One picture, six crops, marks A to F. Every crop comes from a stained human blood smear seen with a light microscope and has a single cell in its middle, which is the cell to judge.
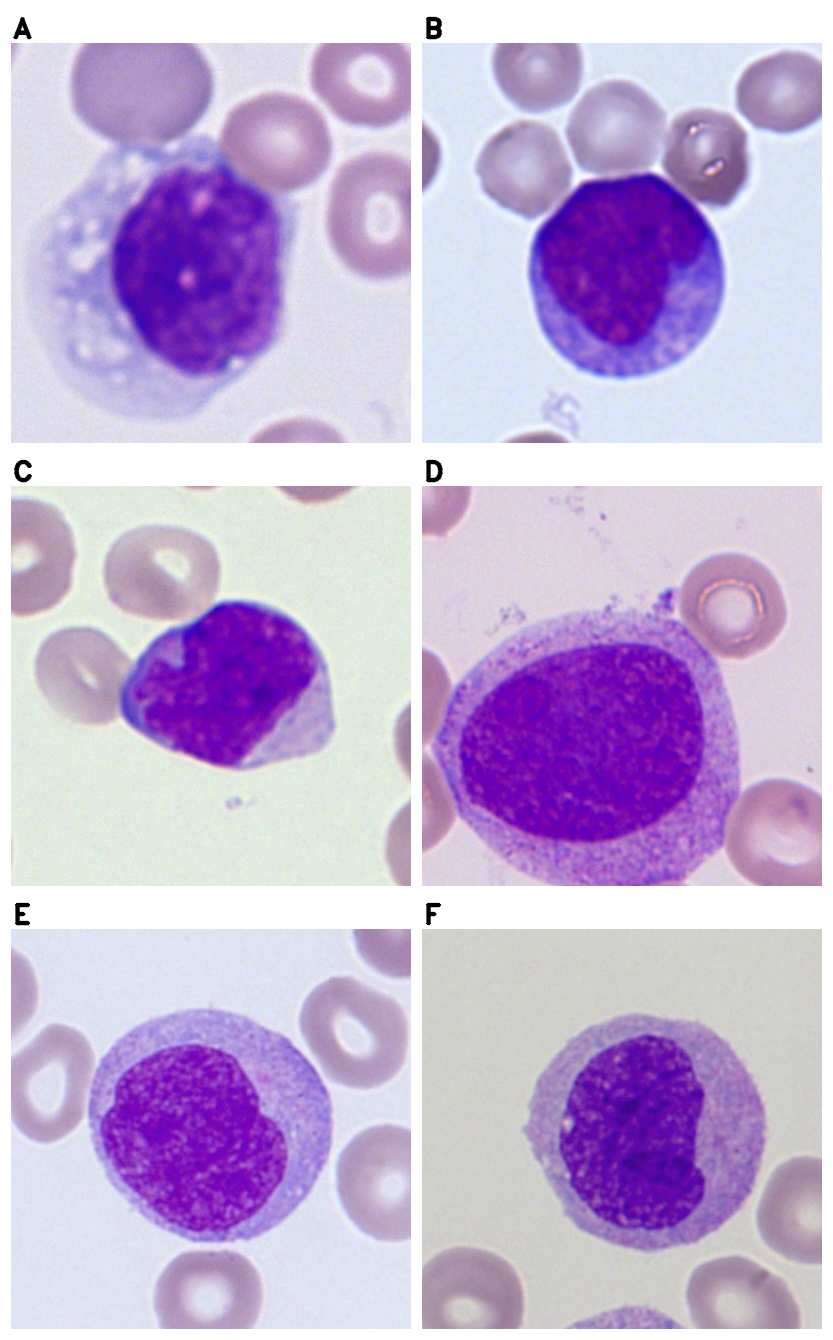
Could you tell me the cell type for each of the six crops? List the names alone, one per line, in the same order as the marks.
monocyte
myeloblast
myeloblast
myeloblast
myeloblast
myeloblast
